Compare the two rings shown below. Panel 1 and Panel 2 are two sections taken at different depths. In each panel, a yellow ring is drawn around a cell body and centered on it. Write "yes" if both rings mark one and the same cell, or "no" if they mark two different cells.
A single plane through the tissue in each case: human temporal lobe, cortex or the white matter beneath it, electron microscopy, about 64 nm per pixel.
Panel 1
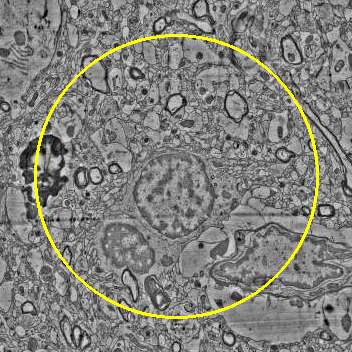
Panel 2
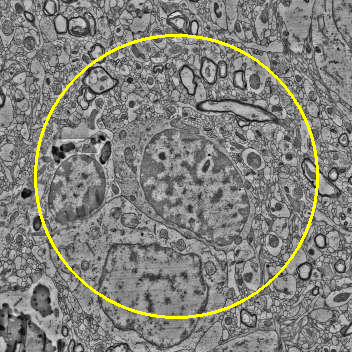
no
